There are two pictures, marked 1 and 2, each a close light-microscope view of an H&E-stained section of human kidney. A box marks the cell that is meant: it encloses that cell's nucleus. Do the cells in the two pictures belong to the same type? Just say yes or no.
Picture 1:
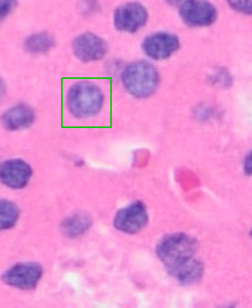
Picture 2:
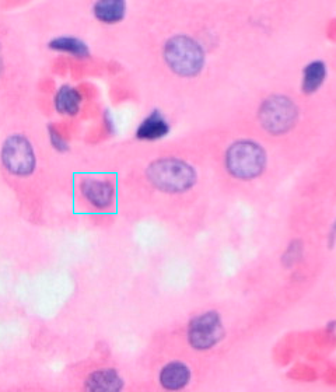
no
